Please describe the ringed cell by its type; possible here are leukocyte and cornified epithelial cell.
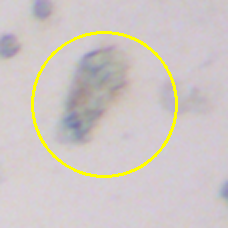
The yellow ring marks a cornified epithelial cell.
